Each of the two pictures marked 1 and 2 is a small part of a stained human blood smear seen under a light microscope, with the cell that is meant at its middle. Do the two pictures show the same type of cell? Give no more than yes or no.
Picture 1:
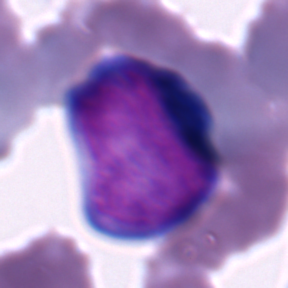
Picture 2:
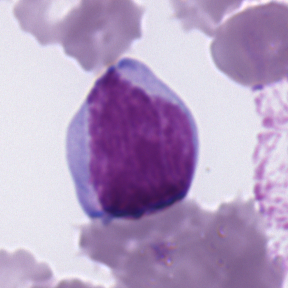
yes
